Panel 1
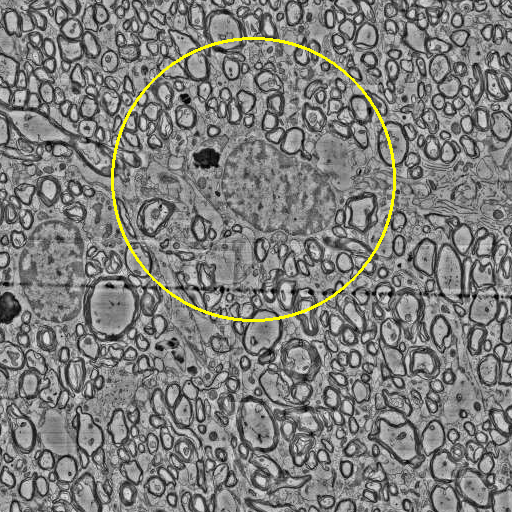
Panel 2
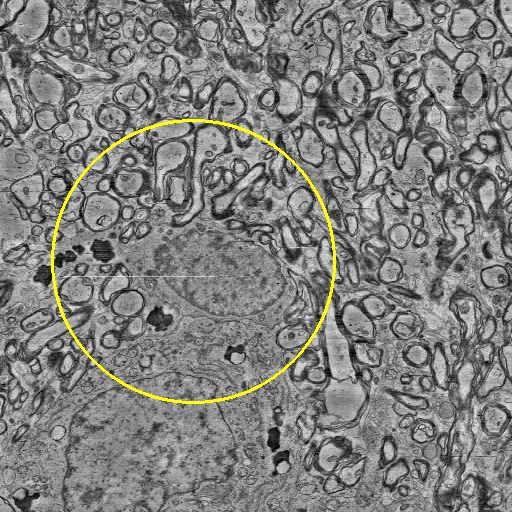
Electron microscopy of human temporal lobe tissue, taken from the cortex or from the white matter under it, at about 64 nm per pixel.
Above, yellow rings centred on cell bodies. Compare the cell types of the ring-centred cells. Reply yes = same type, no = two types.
yes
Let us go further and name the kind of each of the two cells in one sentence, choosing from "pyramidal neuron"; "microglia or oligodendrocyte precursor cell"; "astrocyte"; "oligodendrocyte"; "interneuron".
The cell in the first picture is an oligodendrocyte, and so is the one in the second.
